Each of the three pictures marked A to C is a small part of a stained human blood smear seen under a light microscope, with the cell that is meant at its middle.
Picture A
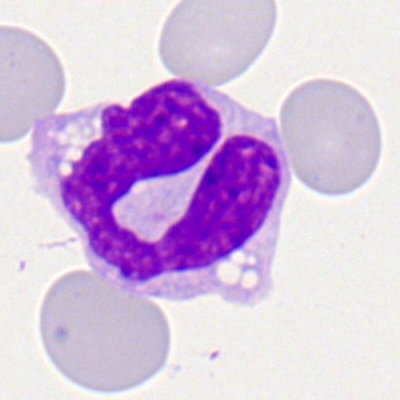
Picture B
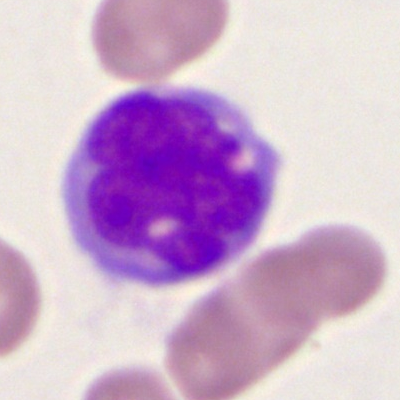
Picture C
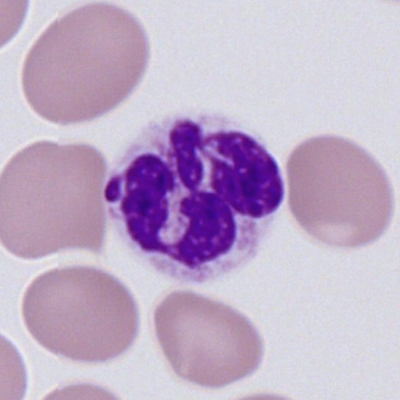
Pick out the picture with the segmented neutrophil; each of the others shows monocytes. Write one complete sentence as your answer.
The cell in picture C is the segmented neutrophil.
